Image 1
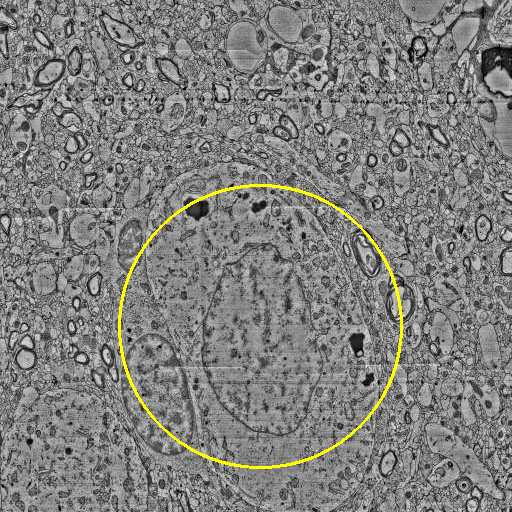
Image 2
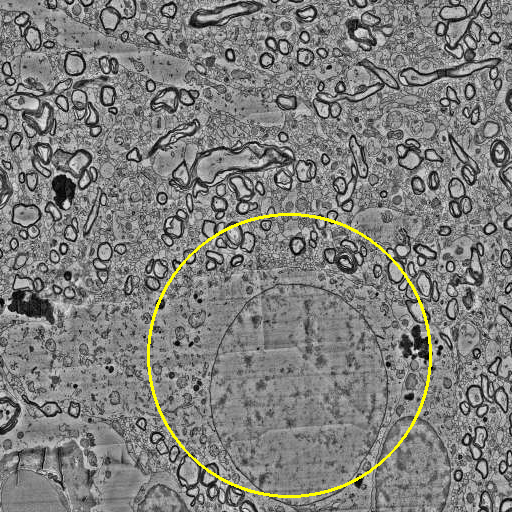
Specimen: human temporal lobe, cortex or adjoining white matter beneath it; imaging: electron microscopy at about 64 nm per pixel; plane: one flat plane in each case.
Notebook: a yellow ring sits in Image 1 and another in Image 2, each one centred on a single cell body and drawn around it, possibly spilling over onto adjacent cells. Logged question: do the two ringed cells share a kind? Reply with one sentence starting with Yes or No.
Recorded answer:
Yes, both centre cells inside the rings of Image 1 and Image 2 share one kind.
